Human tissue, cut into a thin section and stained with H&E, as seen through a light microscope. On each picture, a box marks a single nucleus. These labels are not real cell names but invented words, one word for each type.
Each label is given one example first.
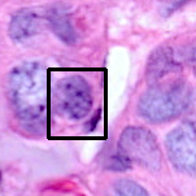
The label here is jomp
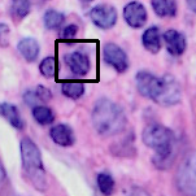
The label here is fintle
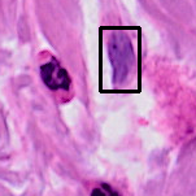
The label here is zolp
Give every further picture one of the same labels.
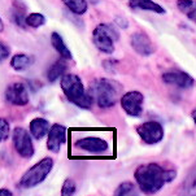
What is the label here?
fintle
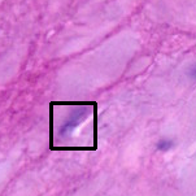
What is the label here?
zolp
